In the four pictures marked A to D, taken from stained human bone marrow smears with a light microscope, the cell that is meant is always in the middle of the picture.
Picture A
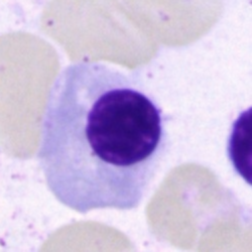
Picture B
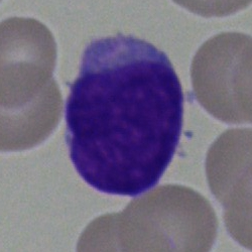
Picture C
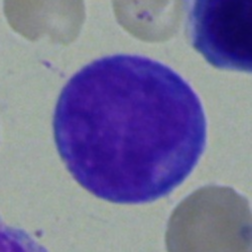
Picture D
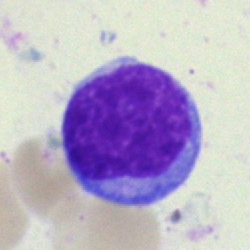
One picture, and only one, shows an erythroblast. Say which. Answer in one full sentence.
The picture with the erythroblast is A.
